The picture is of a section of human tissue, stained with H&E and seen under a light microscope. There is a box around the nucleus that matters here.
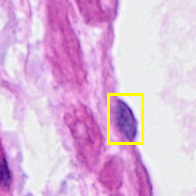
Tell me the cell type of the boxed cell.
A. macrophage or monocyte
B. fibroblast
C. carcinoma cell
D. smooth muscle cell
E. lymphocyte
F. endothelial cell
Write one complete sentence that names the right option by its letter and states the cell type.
Option F is right in classifying the boxed cell as an endothelial cell.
